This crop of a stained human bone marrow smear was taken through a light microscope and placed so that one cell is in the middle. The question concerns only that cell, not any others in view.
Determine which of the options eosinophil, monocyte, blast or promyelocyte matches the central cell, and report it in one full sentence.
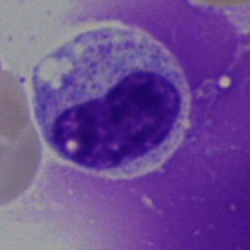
The middle position in this crop is taken by an eosinophil.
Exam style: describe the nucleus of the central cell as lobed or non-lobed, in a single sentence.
Just one compact nuclear mass here, round, oval or kidney-shaped.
